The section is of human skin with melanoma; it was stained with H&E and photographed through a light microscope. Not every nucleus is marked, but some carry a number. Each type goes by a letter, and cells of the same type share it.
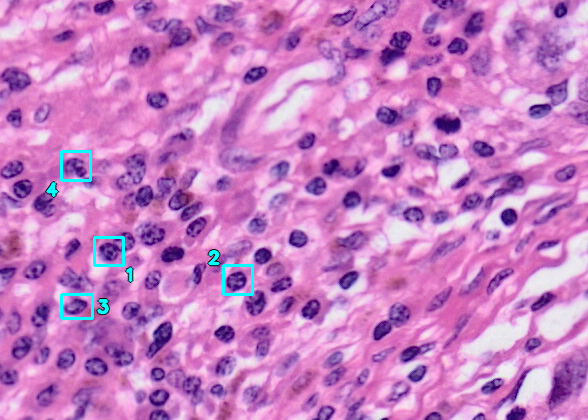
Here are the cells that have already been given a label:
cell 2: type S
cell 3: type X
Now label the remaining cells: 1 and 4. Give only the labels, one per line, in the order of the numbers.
type S
type S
